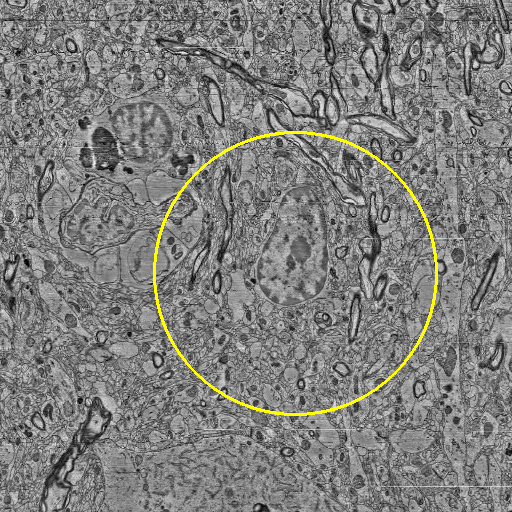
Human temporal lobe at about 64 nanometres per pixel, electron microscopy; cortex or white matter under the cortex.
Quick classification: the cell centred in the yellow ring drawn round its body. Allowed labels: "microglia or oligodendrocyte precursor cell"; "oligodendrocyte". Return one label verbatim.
microglia or oligodendrocyte precursor cell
